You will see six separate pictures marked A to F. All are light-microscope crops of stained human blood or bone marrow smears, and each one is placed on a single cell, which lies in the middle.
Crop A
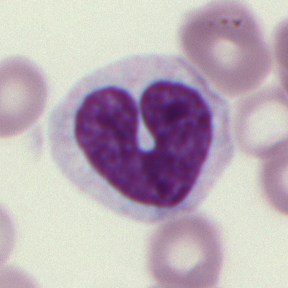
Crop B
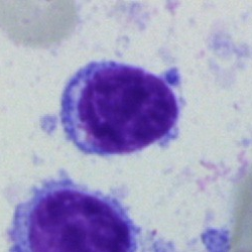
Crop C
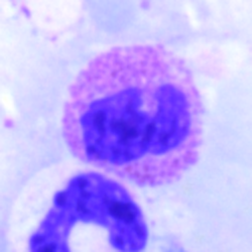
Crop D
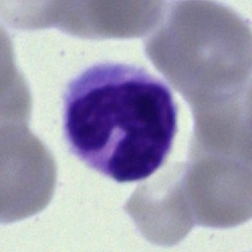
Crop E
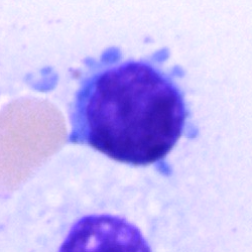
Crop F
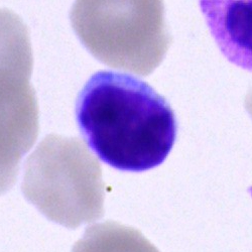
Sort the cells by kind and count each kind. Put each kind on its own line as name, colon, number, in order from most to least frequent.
lymphocyte: 3
band neutrophil: 2
eosinophil: 1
